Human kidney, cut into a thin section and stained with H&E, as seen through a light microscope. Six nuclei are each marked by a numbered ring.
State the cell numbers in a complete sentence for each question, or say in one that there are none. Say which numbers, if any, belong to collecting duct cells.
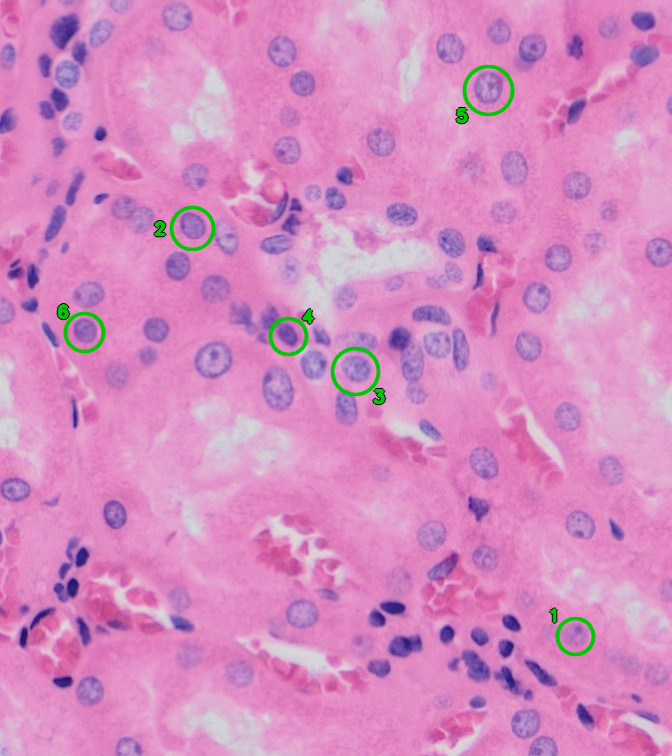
The cells numbered 3 and 4 are identified as collecting duct cells.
